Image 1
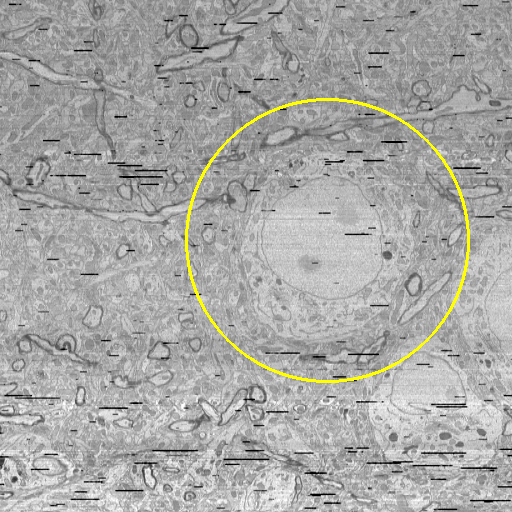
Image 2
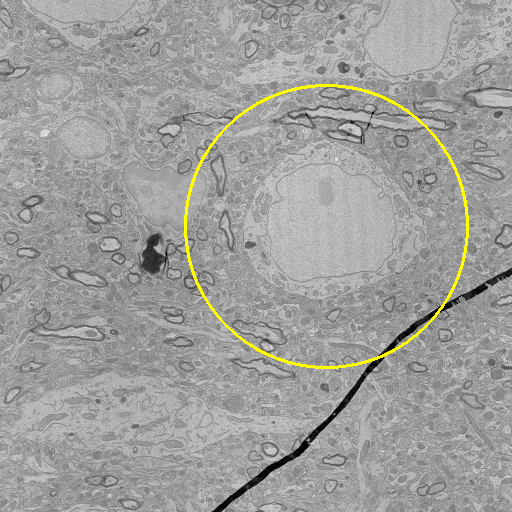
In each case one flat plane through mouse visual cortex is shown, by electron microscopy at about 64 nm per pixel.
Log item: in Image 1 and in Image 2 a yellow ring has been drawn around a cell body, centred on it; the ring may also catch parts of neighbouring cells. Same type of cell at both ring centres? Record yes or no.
yes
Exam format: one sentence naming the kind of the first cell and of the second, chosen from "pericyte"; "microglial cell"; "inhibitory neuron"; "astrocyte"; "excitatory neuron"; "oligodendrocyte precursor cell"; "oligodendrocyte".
In both pictures the ring is centred on an excitatory neuron.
